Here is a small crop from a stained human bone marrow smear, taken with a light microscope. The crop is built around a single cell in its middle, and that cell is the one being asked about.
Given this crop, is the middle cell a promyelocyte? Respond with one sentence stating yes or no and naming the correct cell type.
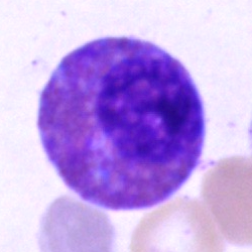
No, the cell in the middle is categorised as an eosinophil, not a promyelocyte.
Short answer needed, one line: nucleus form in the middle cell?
A single compact nucleus, round, oval or kidney-shaped, is what this cell shows.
